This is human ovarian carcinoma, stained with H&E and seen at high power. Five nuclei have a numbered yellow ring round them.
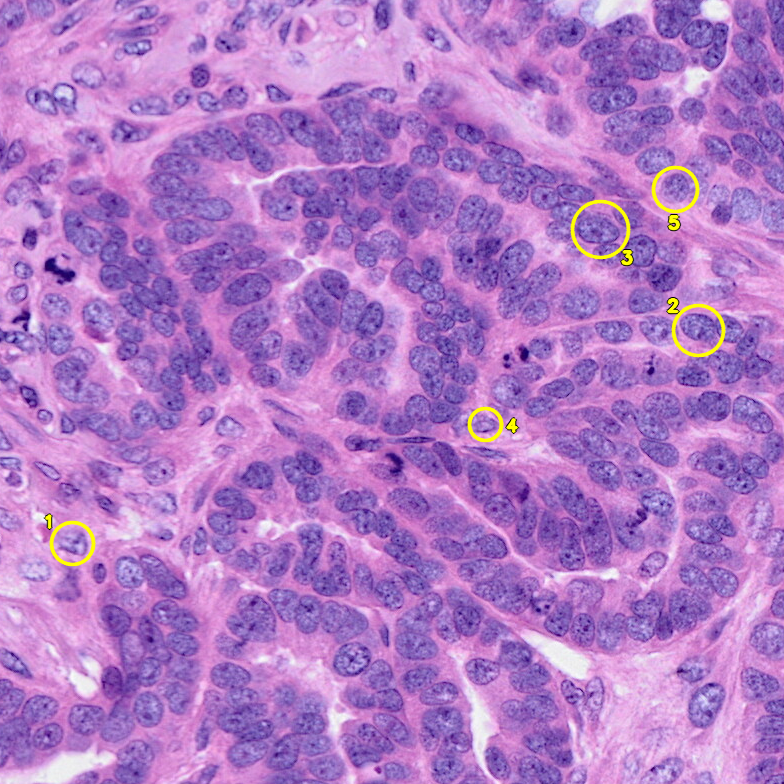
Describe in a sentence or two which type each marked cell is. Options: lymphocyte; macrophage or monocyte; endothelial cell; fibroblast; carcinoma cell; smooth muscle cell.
Cells 1 and 4 are fibroblasts. Cells 2, 3 and 5 are carcinoma cells.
